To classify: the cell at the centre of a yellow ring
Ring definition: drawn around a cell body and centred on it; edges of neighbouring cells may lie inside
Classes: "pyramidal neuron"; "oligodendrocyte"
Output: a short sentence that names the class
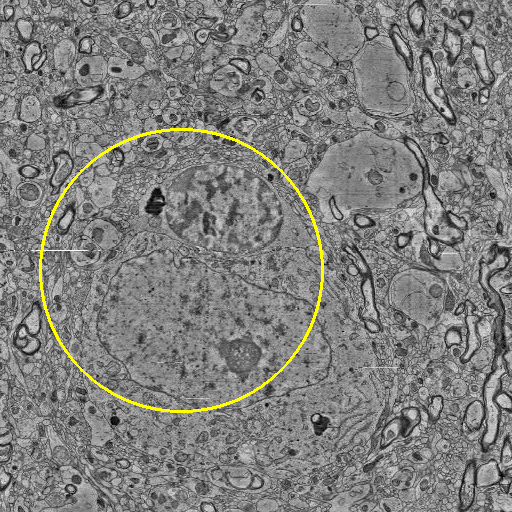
The ringed cell is a pyramidal neuron.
